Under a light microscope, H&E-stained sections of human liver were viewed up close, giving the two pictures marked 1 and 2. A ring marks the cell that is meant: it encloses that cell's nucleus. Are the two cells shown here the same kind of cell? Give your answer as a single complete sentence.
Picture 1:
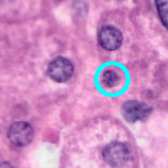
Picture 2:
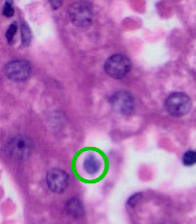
Yes, both cells are lymphocytes.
